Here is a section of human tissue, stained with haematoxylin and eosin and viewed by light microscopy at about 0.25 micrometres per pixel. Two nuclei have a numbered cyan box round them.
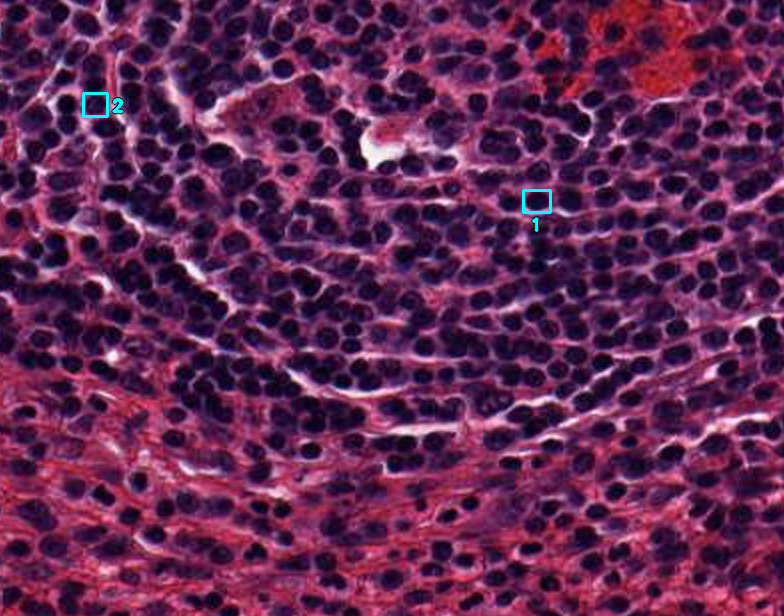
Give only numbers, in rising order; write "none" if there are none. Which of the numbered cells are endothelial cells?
none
